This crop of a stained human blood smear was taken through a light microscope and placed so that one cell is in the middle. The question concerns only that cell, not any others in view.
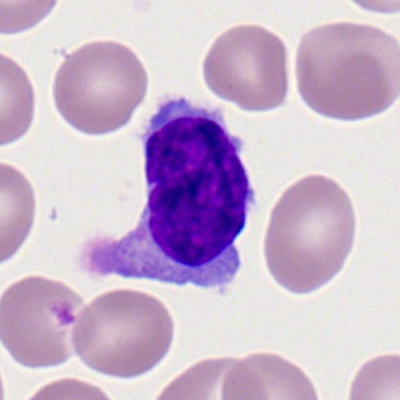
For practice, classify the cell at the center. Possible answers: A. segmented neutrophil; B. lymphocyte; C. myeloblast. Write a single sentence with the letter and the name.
The correct option is B, as the central cell is a lymphocyte.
